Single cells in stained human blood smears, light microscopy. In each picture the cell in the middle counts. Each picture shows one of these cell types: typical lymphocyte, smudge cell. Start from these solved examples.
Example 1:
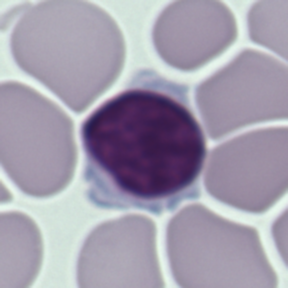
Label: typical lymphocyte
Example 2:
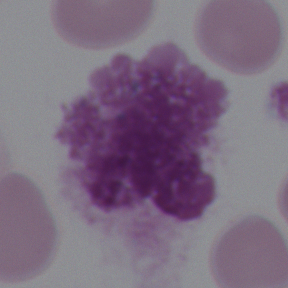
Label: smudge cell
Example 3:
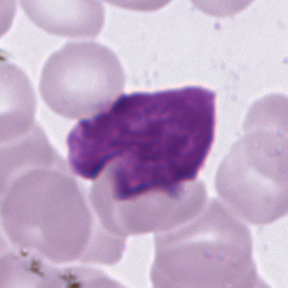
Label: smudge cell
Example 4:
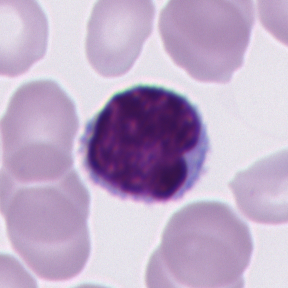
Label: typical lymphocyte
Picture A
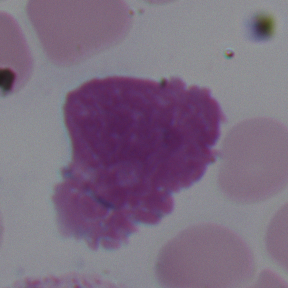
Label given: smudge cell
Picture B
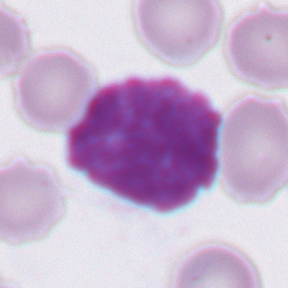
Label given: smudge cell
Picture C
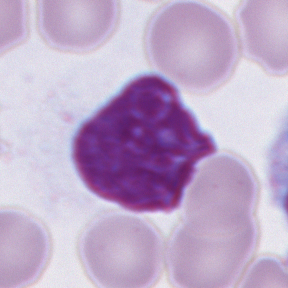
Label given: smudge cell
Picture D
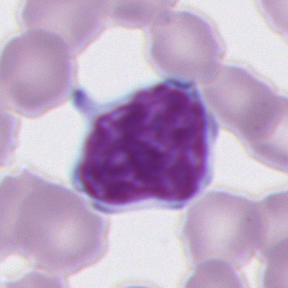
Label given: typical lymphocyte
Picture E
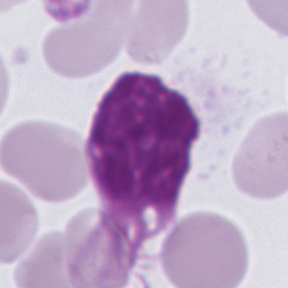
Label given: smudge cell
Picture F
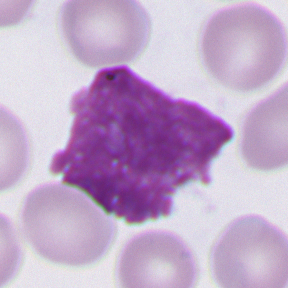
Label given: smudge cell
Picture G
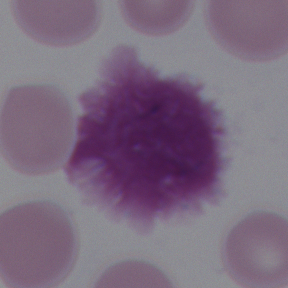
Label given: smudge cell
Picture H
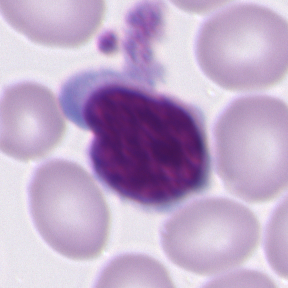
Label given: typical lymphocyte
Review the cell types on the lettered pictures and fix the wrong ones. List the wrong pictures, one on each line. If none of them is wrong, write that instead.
All labels are correct.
